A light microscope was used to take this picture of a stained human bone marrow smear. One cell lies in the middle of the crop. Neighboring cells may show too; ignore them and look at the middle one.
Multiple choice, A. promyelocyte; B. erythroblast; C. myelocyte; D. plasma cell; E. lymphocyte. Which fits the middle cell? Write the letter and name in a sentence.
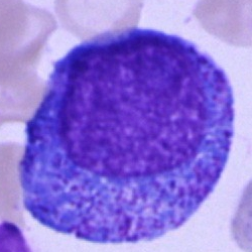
The centrally located cell is a promyelocyte, making option A the correct choice.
